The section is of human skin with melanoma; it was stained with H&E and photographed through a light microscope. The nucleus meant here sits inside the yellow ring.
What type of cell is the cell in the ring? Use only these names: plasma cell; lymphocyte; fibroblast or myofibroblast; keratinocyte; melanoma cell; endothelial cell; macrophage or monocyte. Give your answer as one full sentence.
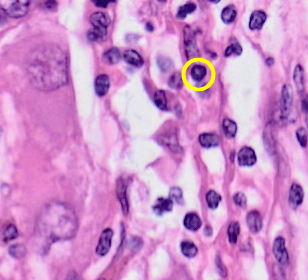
As classified here, the cell in the ring is a lymphocyte.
